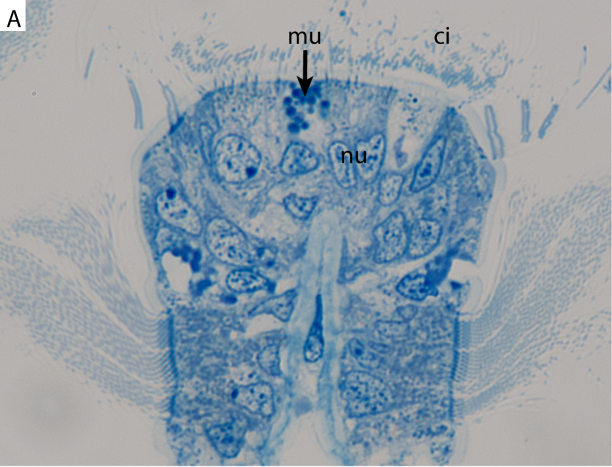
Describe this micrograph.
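This is a transverse section through the end of a gill filament, whose frontal surface is covered by a ciliated epithelium, stained in shades of blue. The epithelial cells are crowded, with oval nuclei that hold speckled chromatin and small dark nucleoli. A small cluster of round, dark blue mucus granules lies just beneath the frontal surface. Cilia project from the surface, longer bundles fan out from both sides, and a pale canal runs down the middle of the filament.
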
